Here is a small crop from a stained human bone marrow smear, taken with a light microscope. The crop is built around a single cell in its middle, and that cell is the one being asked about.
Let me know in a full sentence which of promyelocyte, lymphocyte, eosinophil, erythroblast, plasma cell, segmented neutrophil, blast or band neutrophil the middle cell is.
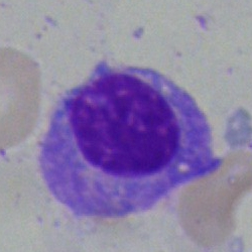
The cell in the middle of this crop is a plasma cell.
